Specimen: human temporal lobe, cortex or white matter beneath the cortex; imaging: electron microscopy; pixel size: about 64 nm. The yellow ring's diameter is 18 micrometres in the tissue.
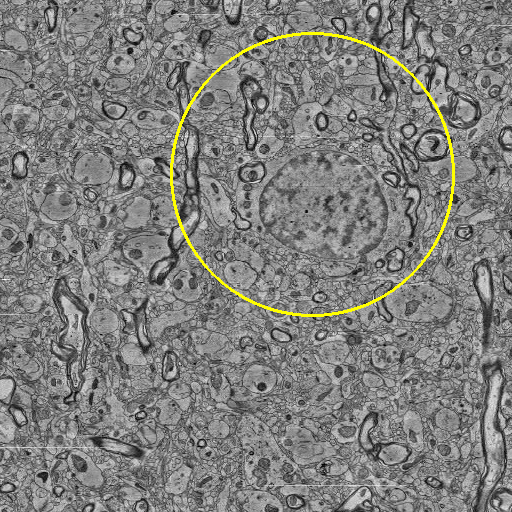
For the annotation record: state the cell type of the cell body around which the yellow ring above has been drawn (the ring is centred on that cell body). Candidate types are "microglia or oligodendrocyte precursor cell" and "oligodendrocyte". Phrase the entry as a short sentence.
The ringed cell is an oligodendrocyte.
